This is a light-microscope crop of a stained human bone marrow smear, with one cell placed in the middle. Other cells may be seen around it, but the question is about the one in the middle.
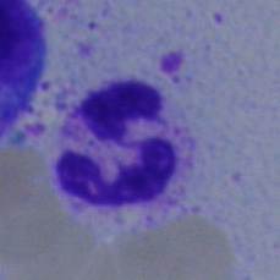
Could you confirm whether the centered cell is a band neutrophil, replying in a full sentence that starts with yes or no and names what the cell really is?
No, the cell at the center of this crop is a segmented neutrophil instead of a band neutrophil.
